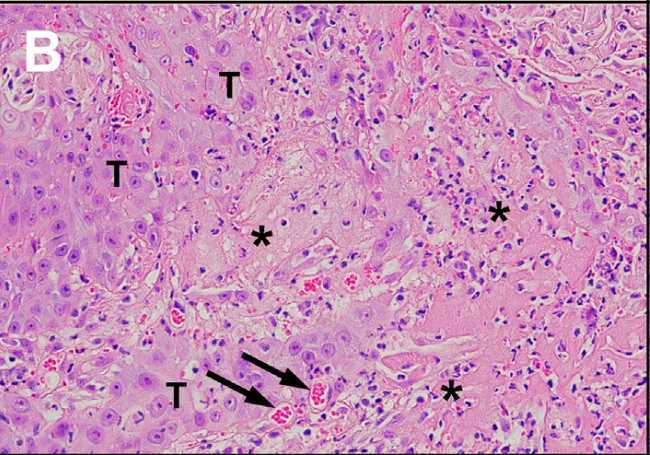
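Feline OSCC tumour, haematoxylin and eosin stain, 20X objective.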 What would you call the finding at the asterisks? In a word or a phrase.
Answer: necrosis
